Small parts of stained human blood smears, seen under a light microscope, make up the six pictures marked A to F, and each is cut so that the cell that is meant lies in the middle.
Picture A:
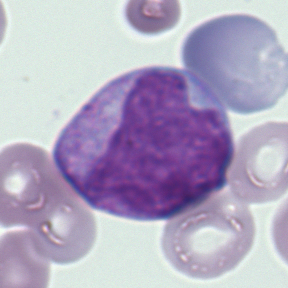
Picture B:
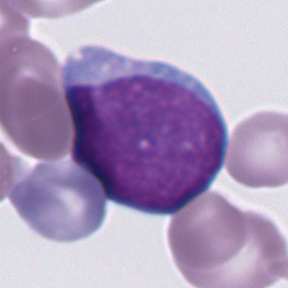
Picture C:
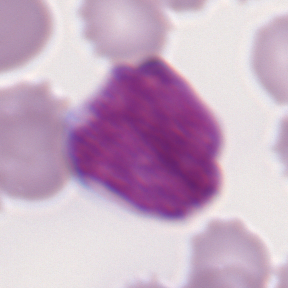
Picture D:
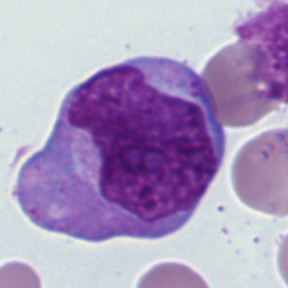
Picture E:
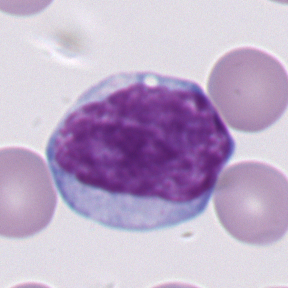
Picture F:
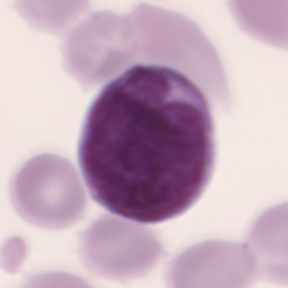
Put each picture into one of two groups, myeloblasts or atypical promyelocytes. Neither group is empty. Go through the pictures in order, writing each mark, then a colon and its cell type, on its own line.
A: atypical promyelocyte
B: myeloblast
C: myeloblast
D: atypical promyelocyte
E: myeloblast
F: myeloblast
